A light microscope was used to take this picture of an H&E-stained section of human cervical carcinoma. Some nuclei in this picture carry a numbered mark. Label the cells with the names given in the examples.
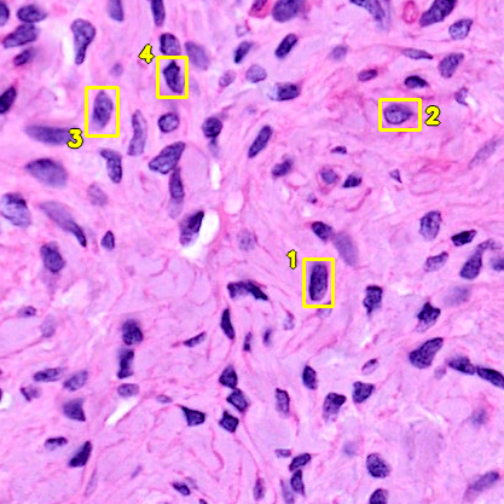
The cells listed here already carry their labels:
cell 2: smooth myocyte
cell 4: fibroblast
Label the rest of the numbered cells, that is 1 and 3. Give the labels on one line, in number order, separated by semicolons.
fibroblast; fibroblast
